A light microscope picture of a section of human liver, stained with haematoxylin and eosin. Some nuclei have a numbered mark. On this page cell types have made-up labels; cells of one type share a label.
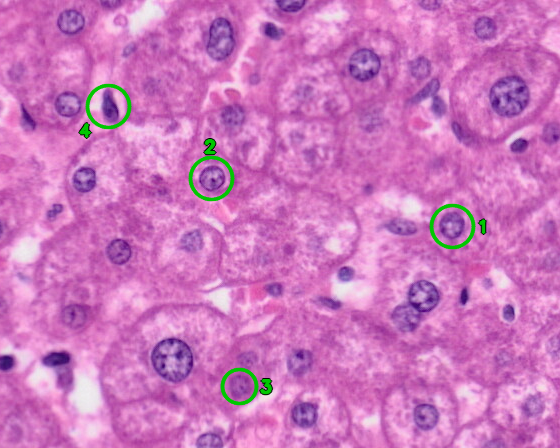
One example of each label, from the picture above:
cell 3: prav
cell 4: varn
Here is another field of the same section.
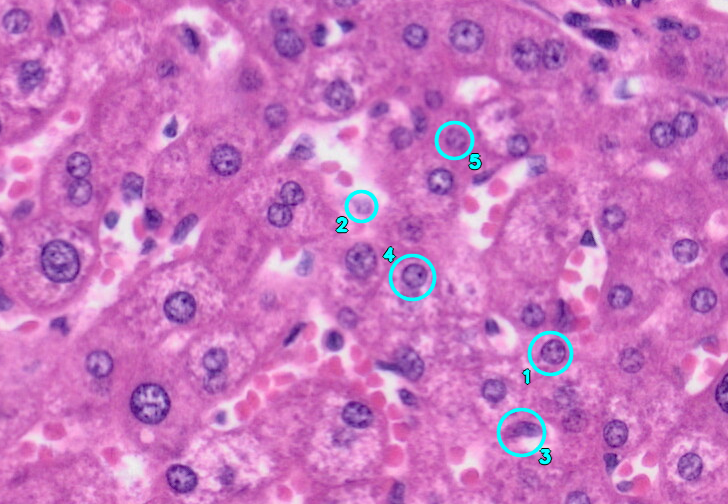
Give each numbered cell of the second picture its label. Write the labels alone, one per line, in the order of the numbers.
prav
varn
varn
prav
prav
